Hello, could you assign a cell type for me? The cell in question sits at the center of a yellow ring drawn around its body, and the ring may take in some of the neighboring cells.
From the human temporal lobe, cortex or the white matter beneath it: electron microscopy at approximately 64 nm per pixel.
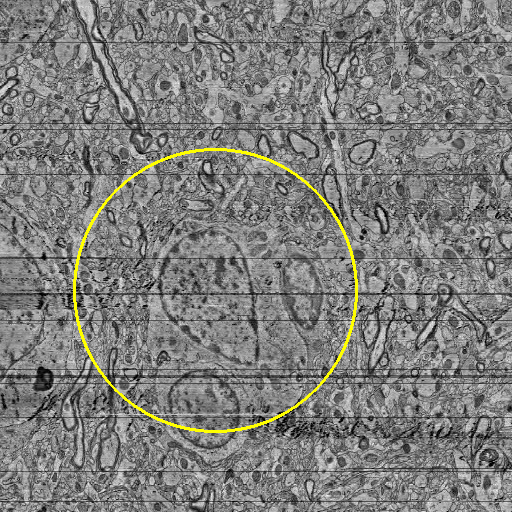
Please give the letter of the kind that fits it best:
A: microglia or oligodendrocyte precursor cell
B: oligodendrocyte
A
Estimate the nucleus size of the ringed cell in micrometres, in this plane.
Roughly 9 micrometres by 6 micrometres, so the nucleus is clearly longer than it is wide in this plane.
